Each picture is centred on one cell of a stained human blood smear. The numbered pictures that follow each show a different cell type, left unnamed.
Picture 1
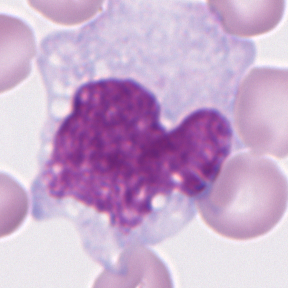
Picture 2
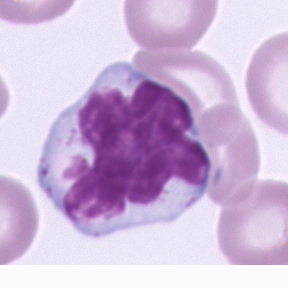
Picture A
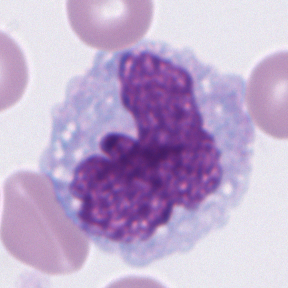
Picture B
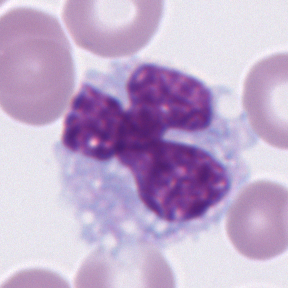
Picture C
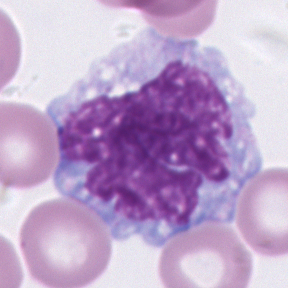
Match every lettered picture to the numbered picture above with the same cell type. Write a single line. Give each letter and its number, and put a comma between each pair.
A 1, B 1, C 1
